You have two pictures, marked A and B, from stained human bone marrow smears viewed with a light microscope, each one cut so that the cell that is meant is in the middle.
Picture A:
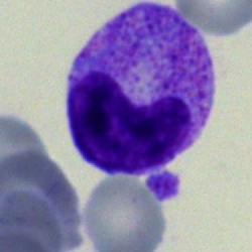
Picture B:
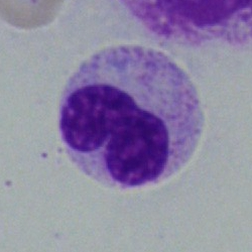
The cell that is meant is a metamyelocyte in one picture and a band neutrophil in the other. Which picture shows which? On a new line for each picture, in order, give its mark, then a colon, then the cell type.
A: metamyelocyte
B: band neutrophil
